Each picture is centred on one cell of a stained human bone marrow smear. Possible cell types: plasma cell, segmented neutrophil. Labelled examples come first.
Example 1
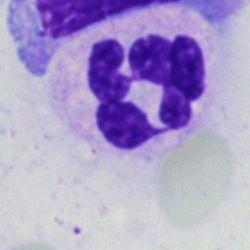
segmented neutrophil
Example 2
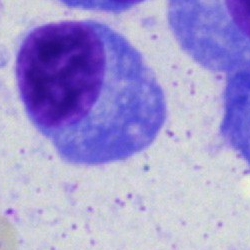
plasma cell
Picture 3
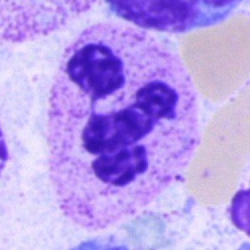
segmented neutrophil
